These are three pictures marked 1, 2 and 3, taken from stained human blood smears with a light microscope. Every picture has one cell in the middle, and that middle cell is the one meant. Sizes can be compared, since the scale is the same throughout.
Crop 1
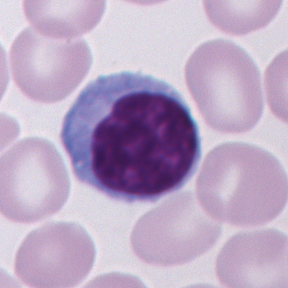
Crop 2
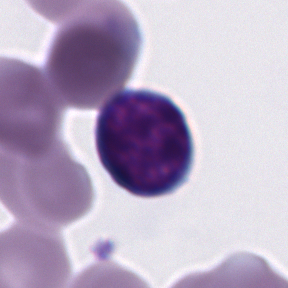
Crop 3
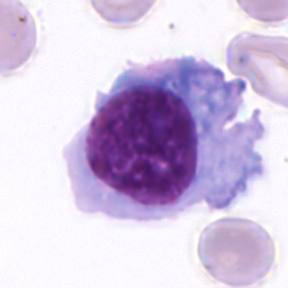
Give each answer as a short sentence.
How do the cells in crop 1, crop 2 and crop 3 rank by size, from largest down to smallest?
From the largest down, the order is 3, 1, 2.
